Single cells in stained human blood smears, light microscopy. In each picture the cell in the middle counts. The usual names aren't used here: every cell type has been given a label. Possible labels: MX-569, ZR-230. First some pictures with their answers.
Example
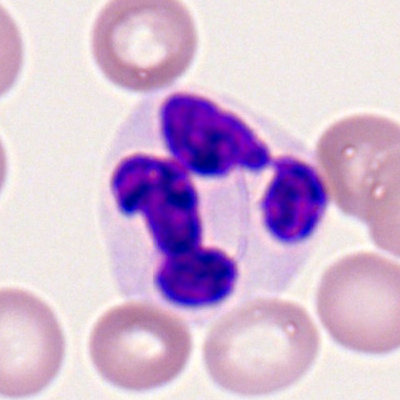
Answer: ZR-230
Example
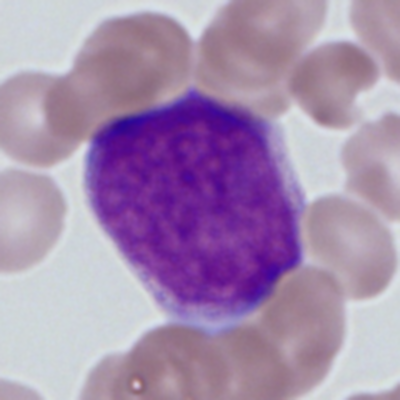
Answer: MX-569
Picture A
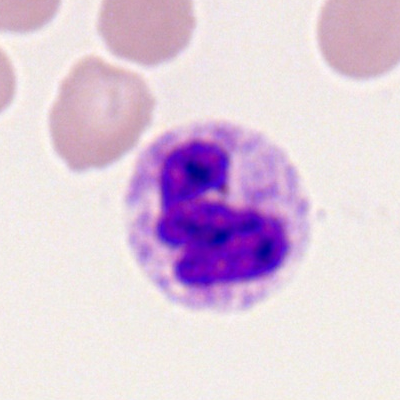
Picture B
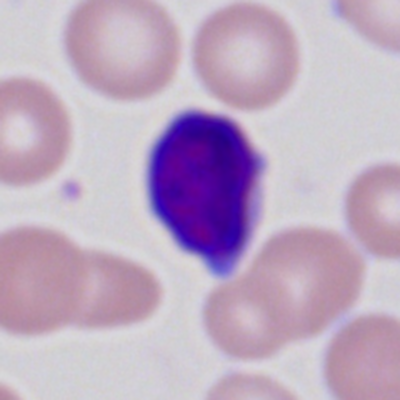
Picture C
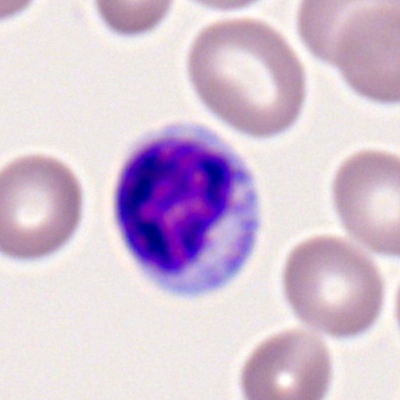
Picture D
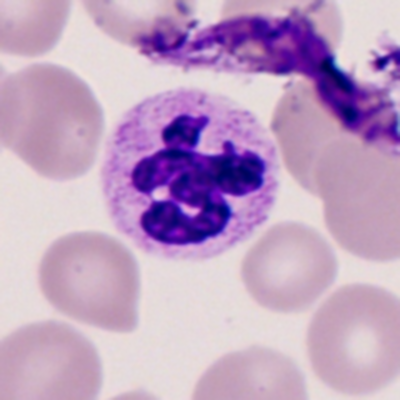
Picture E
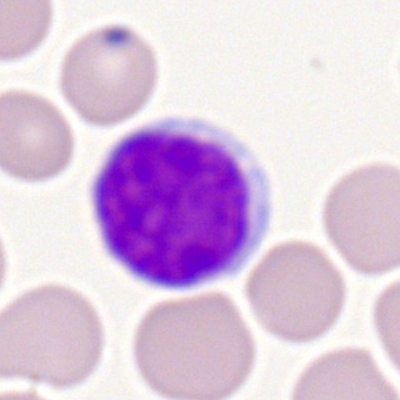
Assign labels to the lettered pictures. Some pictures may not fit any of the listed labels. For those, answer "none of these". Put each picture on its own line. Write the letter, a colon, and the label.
A: ZR-230
B: none of these
C: none of these
D: ZR-230
E: none of these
